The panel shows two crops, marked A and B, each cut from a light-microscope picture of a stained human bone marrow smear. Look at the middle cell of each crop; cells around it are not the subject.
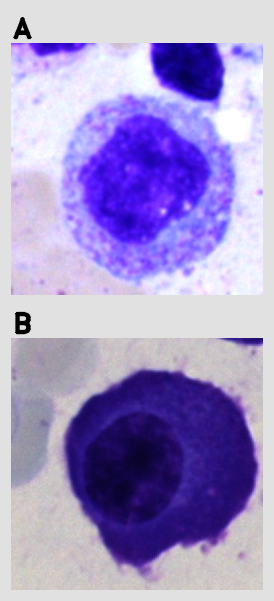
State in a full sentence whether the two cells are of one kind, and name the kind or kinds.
No, crop A holds a myelocyte, and a plasma cell occupies crop B.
